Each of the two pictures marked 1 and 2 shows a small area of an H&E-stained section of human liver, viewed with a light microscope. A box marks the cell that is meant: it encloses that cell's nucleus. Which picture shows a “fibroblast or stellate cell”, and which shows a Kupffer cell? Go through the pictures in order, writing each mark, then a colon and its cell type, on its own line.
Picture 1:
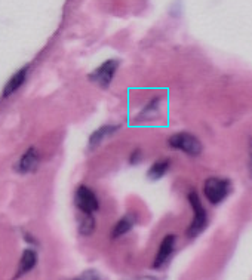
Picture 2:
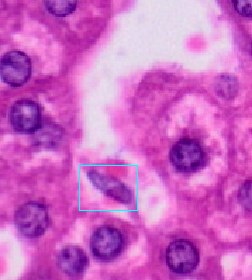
1: fibroblast or stellate cell
2: Kupffer cell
